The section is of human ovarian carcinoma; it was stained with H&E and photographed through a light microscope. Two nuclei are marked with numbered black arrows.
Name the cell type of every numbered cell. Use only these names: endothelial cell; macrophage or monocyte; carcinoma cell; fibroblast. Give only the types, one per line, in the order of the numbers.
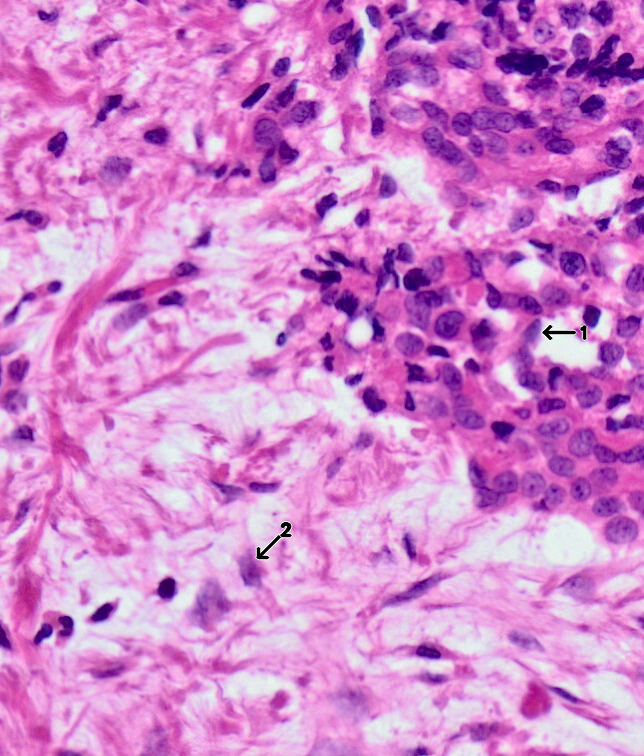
carcinoma cell
fibroblast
